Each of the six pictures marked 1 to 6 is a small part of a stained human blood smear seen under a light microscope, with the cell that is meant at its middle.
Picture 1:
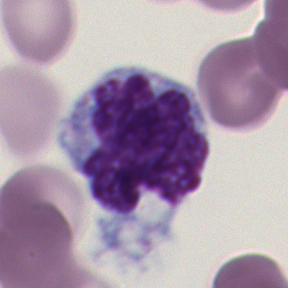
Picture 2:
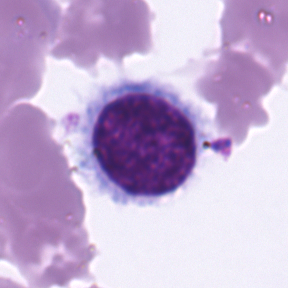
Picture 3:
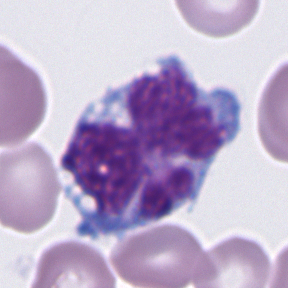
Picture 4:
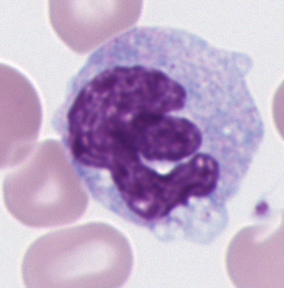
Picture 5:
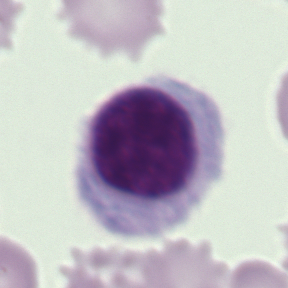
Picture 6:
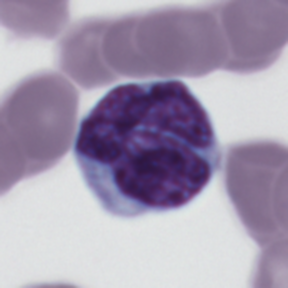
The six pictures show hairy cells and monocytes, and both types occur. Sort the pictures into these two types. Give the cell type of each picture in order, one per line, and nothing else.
monocyte
hairy cell
monocyte
monocyte
hairy cell
monocyte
